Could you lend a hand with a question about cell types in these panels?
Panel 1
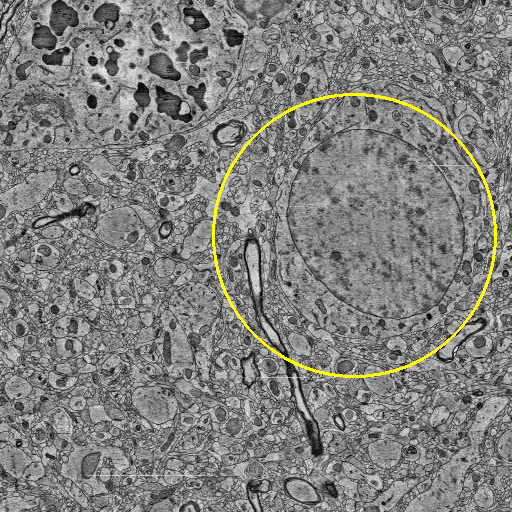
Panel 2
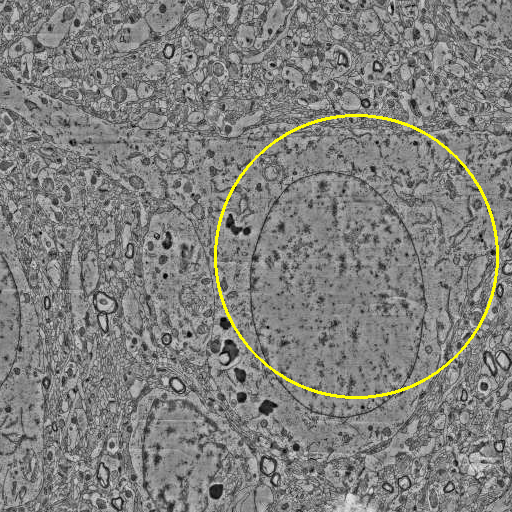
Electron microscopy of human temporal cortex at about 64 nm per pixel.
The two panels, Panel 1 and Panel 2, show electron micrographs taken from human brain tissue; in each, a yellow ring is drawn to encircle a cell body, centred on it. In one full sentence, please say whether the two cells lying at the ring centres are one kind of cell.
Yes, the cells at the ring centres in the two panels are one kind of cell.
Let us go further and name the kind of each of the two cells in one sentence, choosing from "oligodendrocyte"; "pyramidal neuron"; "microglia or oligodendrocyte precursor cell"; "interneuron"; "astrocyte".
Each of the two cells is a pyramidal neuron.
